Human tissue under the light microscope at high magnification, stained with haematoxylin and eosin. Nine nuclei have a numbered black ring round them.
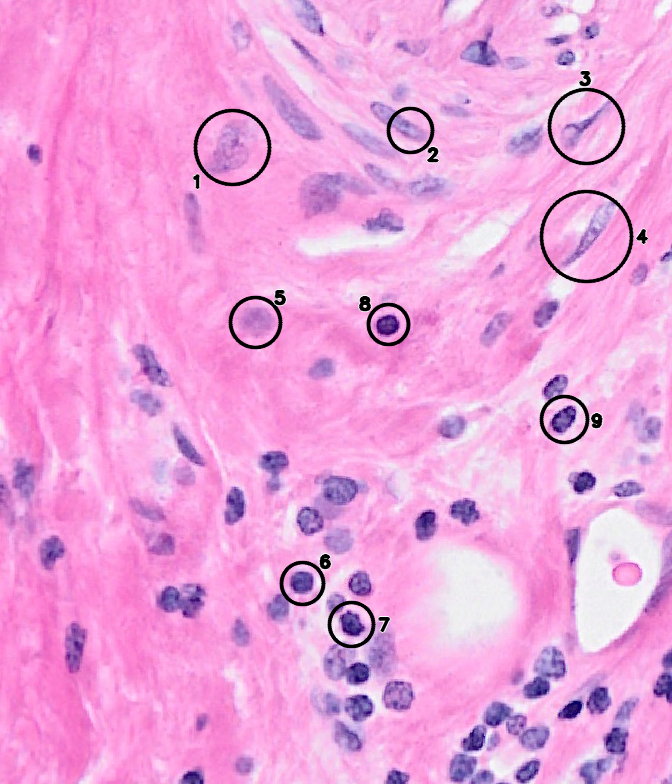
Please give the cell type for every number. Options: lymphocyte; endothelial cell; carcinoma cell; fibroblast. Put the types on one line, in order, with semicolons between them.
fibroblast; endothelial cell; fibroblast; fibroblast; fibroblast; lymphocyte; lymphocyte; lymphocyte; lymphocyte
